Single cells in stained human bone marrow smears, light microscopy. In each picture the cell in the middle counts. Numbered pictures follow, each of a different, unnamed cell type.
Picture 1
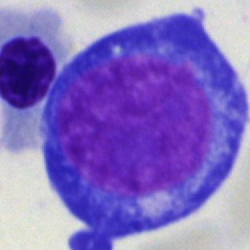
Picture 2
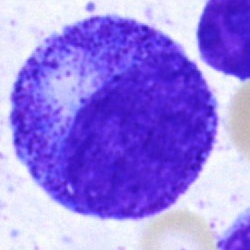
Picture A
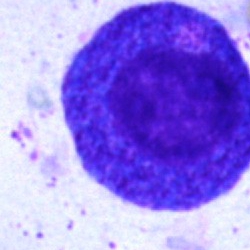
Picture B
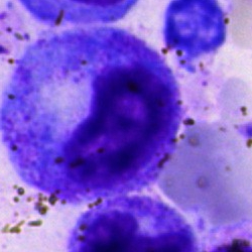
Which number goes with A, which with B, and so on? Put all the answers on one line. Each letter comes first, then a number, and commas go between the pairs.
A 2, B 2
